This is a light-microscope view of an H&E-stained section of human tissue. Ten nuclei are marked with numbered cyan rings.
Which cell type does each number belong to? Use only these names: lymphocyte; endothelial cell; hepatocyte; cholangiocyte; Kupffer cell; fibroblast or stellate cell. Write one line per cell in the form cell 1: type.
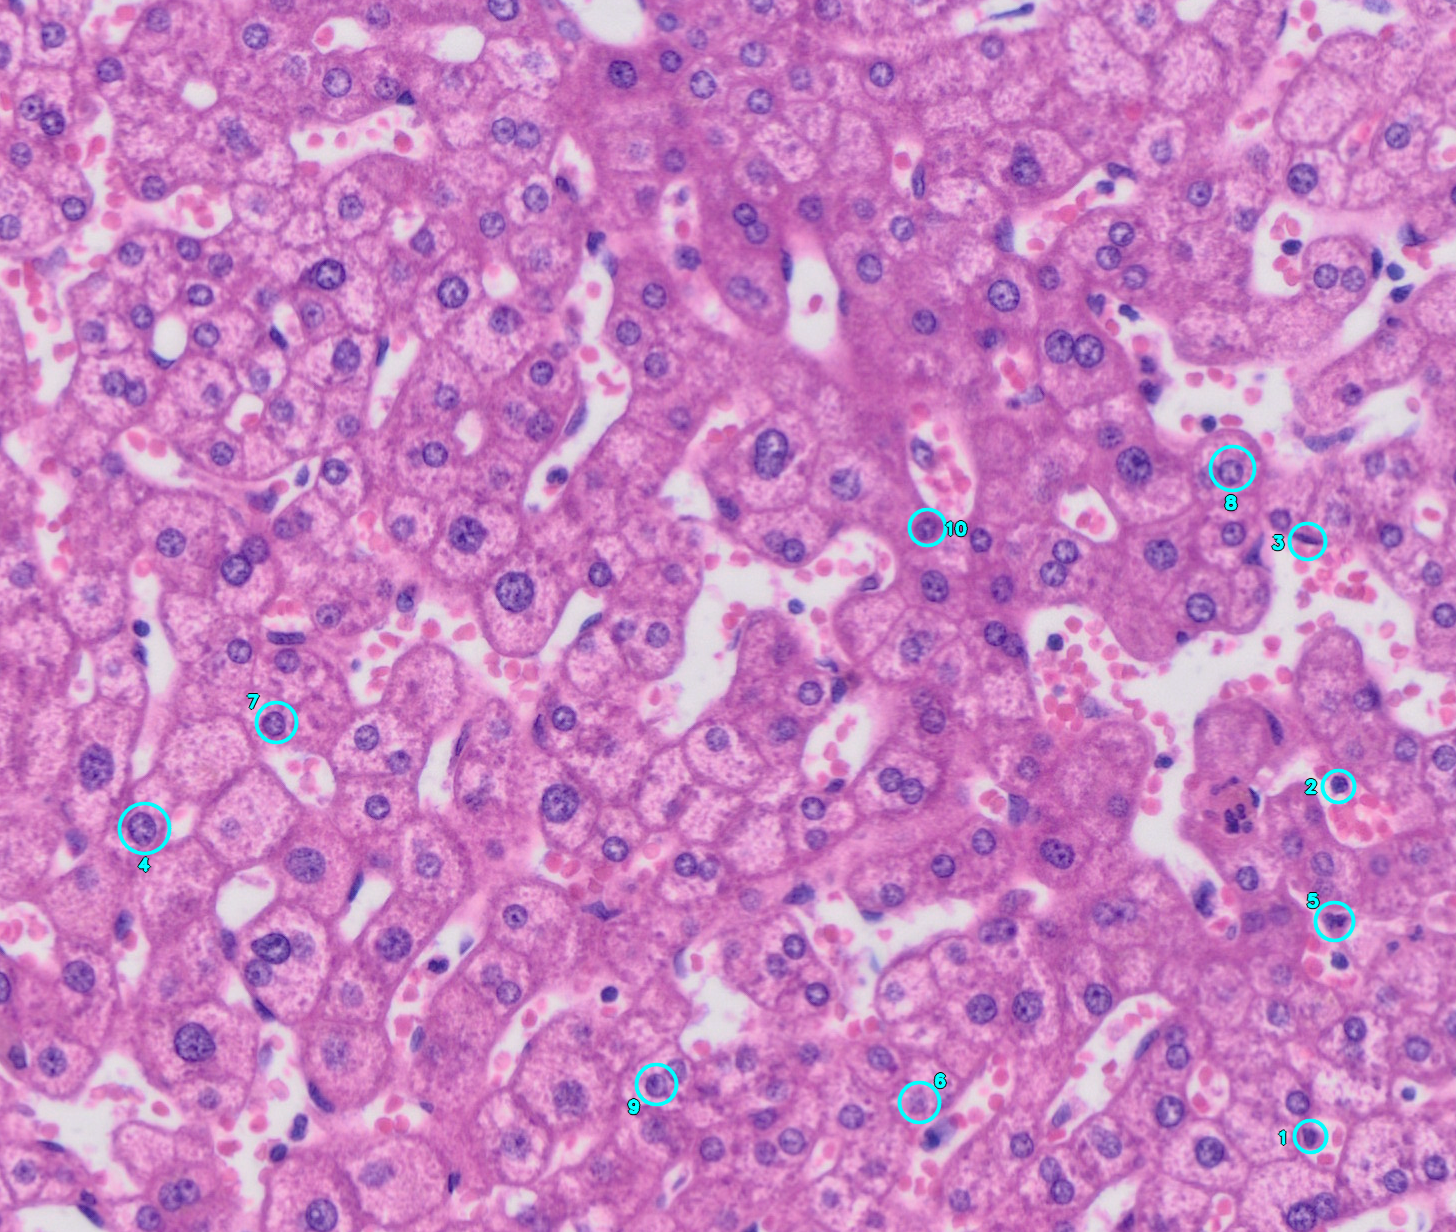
cell 1: Kupffer cell
cell 2: lymphocyte
cell 3: fibroblast or stellate cell
cell 4: hepatocyte
cell 5: Kupffer cell
cell 6: hepatocyte
cell 7: hepatocyte
cell 8: hepatocyte
cell 9: hepatocyte
cell 10: hepatocyte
